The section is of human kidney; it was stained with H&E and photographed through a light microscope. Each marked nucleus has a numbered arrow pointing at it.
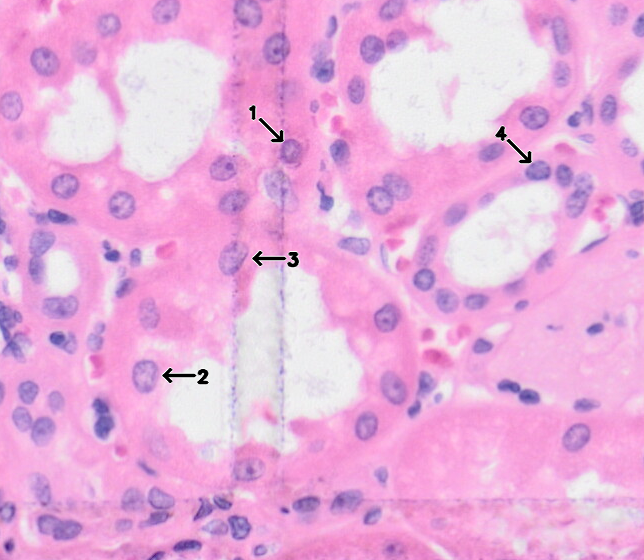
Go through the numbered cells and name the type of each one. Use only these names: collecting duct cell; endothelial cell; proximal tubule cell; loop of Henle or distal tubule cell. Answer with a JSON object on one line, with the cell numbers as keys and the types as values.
{"1": "proximal tubule cell", "2": "proximal tubule cell", "3": "proximal tubule cell", "4": "collecting duct cell"}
